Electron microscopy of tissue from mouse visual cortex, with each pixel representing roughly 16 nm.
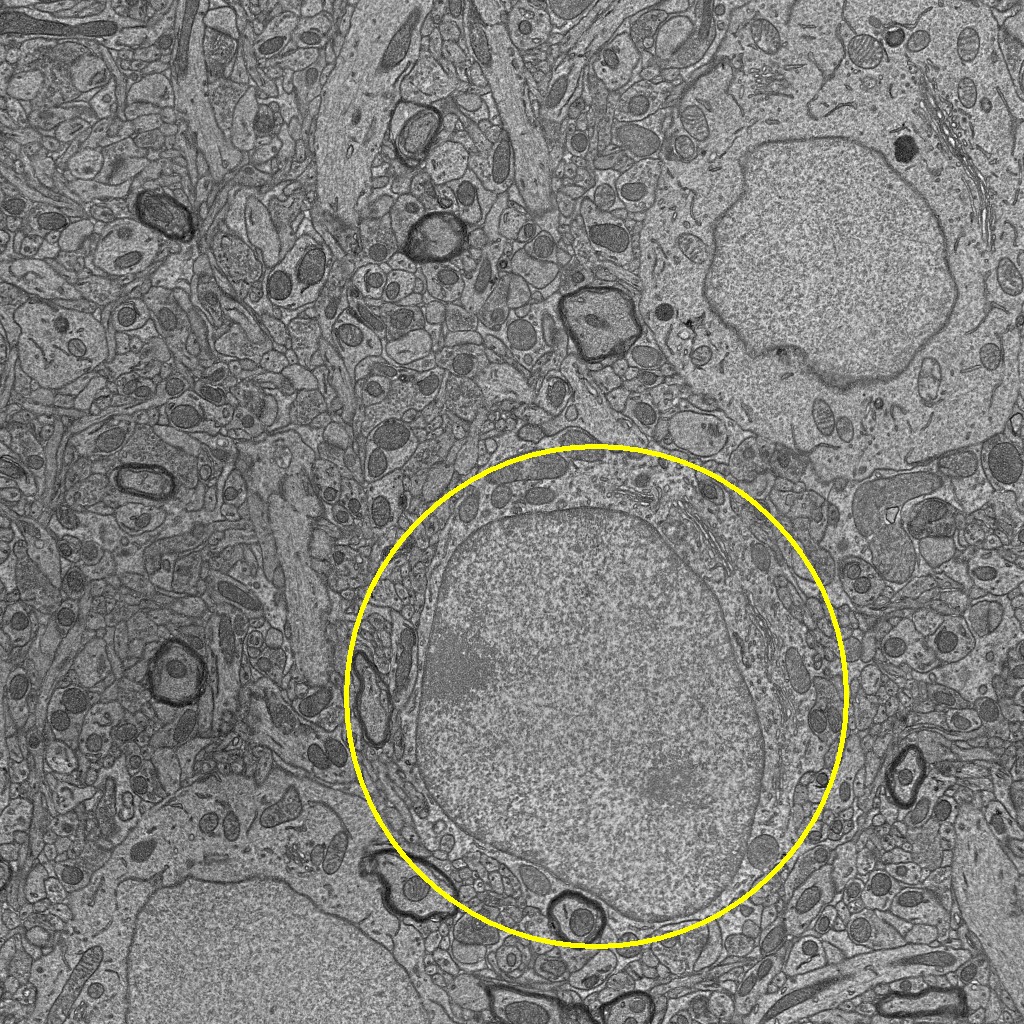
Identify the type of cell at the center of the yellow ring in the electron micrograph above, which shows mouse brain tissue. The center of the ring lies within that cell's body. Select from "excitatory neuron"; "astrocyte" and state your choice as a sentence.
The center of the yellow ring lies in the body of an astrocyte.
